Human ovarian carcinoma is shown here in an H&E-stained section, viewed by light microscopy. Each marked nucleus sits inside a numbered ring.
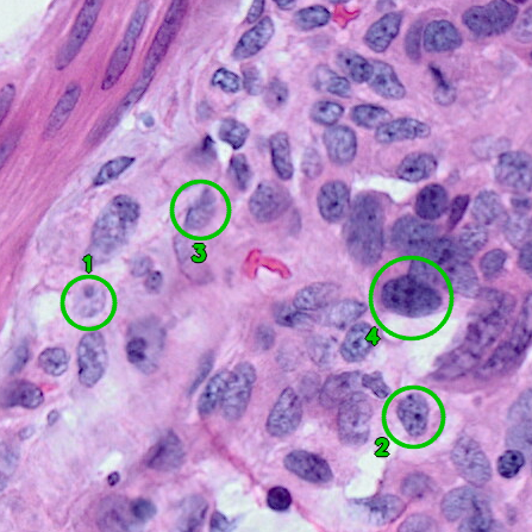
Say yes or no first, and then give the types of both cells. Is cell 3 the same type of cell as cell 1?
Yes, cells 3 and 1 both fall under fibroblasts.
